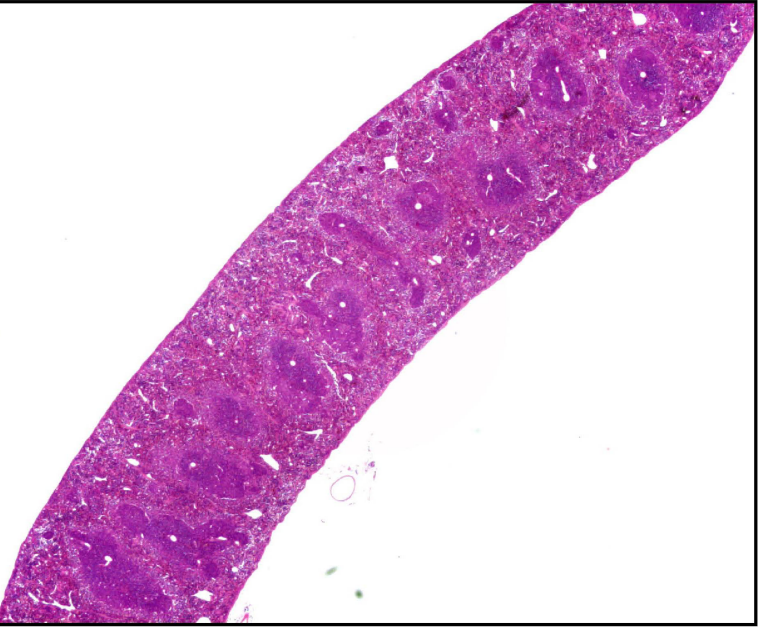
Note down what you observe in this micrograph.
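This low-power view of spleen shows a narrow strip of tissue under a thin capsule. Dark purple, rounded lymphoid follicles of white pulp are lined up along its middle, and many have a small central vessel. Redder, spongy red pulp with scattered small vessels surrounds the follicles and fills the space between them.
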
